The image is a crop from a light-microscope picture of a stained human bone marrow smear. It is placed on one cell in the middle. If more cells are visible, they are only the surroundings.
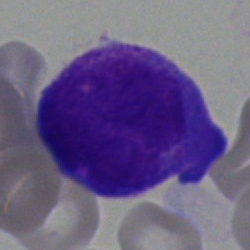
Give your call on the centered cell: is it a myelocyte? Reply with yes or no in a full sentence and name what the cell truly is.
No, the cell placed in the centre is a blast and is not a myelocyte.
